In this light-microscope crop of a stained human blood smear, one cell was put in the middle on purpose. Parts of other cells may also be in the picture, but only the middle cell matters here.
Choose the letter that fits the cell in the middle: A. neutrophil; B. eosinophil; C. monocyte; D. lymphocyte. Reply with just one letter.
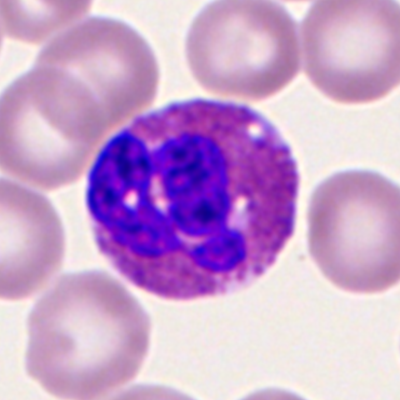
B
